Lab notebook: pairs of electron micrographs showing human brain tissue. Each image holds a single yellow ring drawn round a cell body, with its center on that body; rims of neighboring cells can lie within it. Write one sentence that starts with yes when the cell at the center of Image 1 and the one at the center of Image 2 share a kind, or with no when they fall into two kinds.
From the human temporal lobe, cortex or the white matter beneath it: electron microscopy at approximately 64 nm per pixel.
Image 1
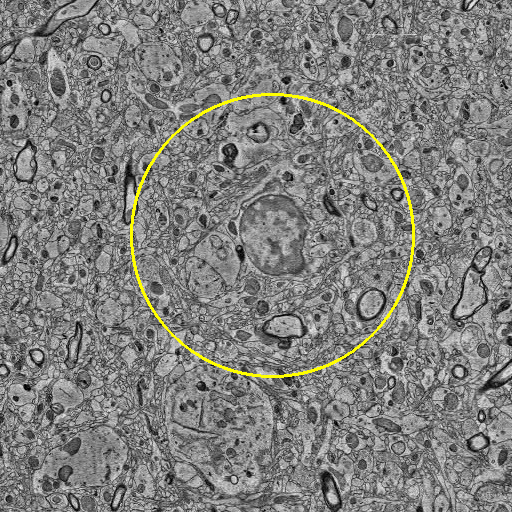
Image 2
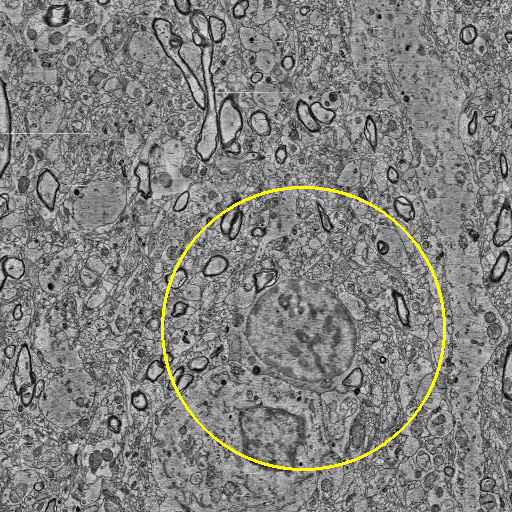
No, the centered cell in Image 1 and the centered cell in Image 2 are of two kinds.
